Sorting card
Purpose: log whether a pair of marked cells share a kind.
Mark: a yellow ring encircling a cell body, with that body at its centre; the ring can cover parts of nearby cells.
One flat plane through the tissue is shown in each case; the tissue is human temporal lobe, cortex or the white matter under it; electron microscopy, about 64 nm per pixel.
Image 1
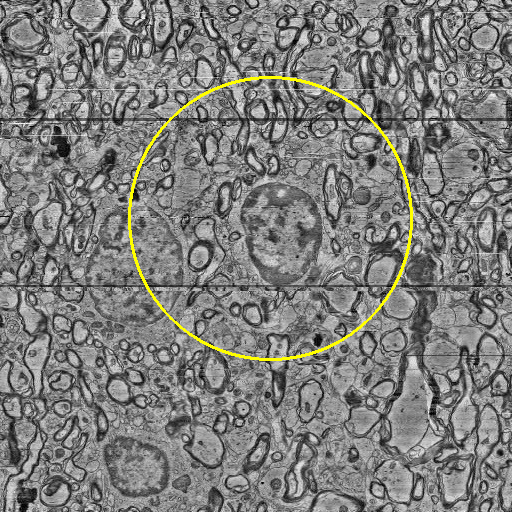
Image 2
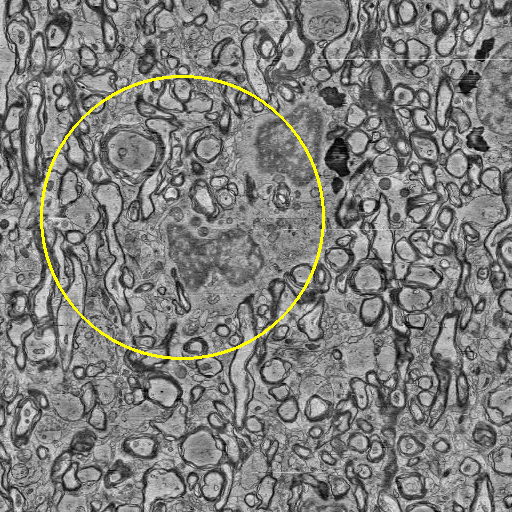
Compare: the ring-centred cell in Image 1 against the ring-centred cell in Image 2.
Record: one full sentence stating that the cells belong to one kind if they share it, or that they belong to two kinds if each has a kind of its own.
Across Images 1 and 2, the two ring-centred cells belong to two kinds.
